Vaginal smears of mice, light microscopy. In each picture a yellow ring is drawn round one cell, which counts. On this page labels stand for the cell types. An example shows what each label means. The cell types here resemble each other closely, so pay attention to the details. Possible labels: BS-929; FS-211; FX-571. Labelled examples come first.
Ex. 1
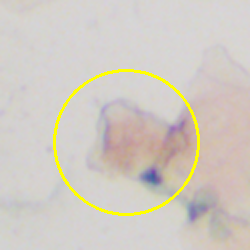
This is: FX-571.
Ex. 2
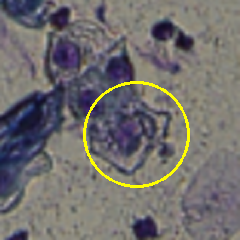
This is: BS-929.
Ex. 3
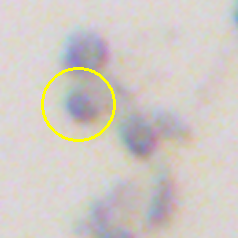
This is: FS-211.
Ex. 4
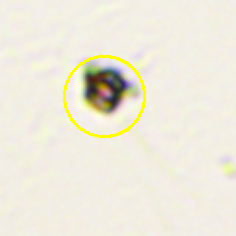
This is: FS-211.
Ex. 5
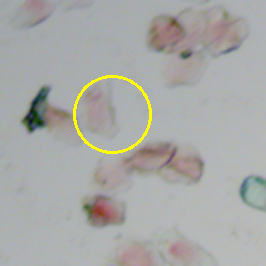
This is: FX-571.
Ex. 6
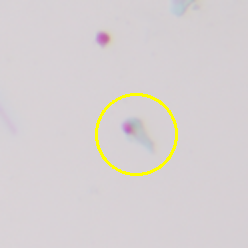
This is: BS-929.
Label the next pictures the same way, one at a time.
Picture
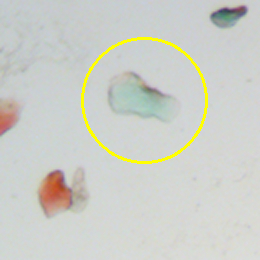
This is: FX-571.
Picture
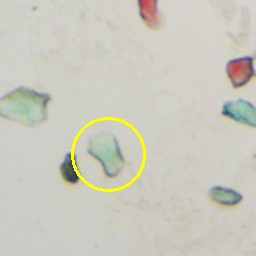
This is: FX-571.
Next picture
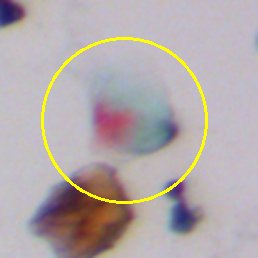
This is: BS-929.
